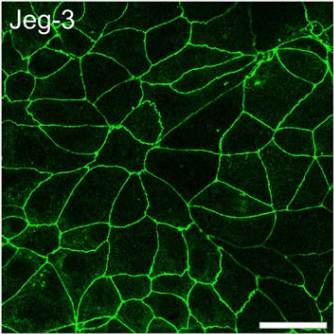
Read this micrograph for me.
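The outlines are continuous and link into an unbroken polygonal network across the field. The cells are fairly large and many are irregular or elongated polygons of varying size. Small brighter green points lie at some of the places where several borders meet. The cell interiors are dark with only sparse faint green dots, and nuclei are not stained.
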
